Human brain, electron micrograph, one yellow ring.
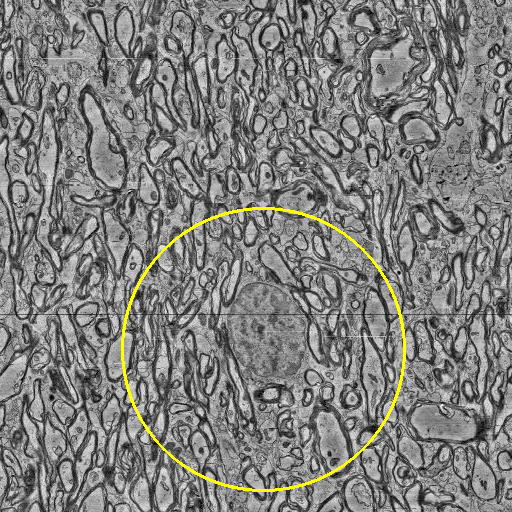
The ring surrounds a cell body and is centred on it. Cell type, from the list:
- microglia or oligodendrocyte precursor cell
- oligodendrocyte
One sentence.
The yellow ring circles an oligodendrocyte.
